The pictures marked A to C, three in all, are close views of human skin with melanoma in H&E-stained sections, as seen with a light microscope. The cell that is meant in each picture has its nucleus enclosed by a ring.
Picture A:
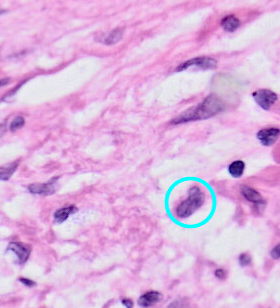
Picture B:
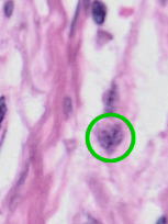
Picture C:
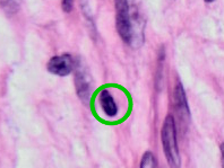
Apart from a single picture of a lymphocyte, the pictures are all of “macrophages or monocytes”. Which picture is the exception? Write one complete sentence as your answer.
Picture C shows the lymphocyte.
